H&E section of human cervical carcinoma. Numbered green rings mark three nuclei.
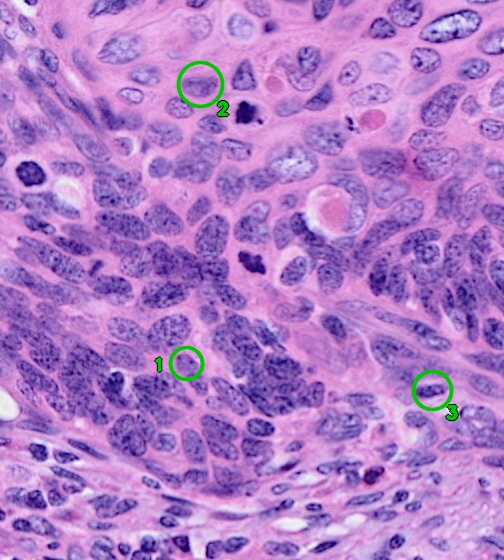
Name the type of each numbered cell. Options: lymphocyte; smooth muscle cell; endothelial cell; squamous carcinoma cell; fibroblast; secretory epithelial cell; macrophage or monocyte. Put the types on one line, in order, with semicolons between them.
squamous carcinoma cell; squamous carcinoma cell; lymphocyte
